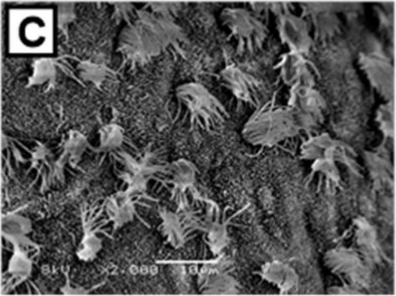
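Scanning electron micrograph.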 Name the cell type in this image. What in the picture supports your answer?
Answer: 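Ciliated cells. Scattered cells carry tufts of long hair-like projections. The projections are bundled and bent across the surface. Between the tufts the surface is covered by non-ciliated cells with a granular texture.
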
